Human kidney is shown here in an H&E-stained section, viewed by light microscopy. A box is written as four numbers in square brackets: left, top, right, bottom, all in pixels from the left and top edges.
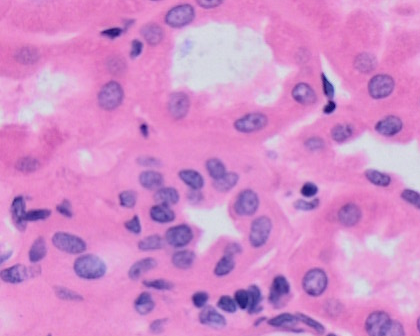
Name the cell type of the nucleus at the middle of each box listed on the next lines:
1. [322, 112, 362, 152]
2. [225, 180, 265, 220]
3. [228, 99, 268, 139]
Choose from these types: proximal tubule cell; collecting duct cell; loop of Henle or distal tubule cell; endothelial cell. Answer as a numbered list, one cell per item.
1. loop of Henle or distal tubule cell
2. collecting duct cell
3. proximal tubule cell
